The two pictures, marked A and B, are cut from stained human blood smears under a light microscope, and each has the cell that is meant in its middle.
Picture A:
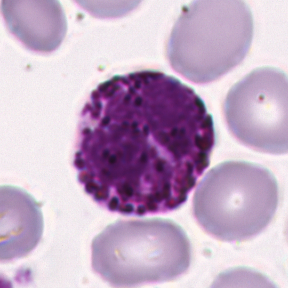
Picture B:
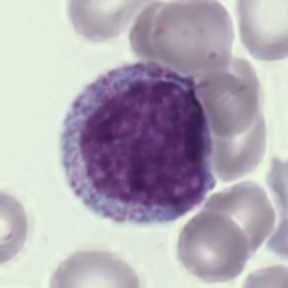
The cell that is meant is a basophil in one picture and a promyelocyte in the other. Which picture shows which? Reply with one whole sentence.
Picture A shows a basophil and picture B shows a promyelocyte.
